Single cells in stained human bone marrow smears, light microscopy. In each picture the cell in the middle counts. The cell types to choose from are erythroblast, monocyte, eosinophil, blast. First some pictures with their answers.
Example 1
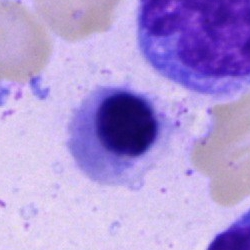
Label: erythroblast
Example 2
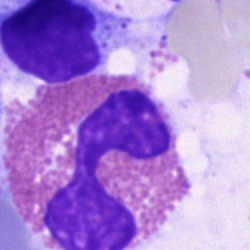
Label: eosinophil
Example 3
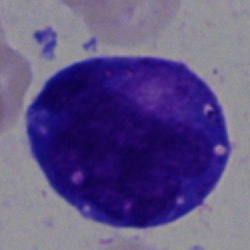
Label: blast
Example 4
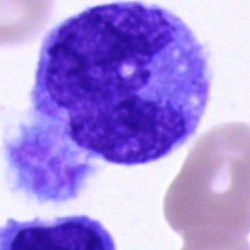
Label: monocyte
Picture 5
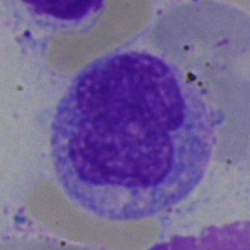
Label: monocyte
